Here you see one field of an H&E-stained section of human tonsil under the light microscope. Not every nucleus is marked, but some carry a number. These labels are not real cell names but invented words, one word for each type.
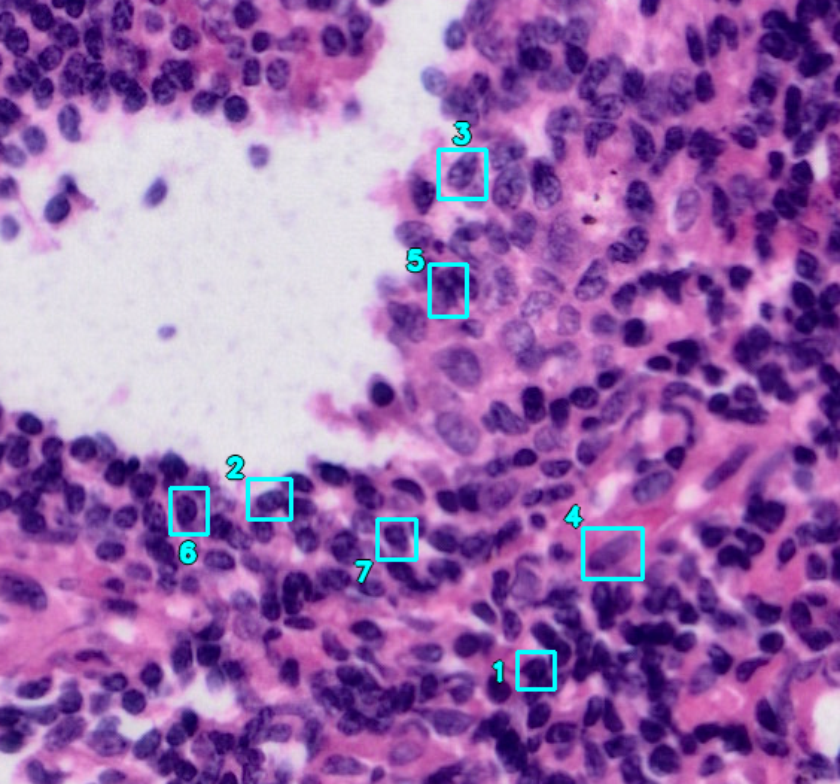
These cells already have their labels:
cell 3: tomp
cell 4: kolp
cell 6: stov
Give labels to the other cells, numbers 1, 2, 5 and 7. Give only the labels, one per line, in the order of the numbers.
stov
stov
tomp
stov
